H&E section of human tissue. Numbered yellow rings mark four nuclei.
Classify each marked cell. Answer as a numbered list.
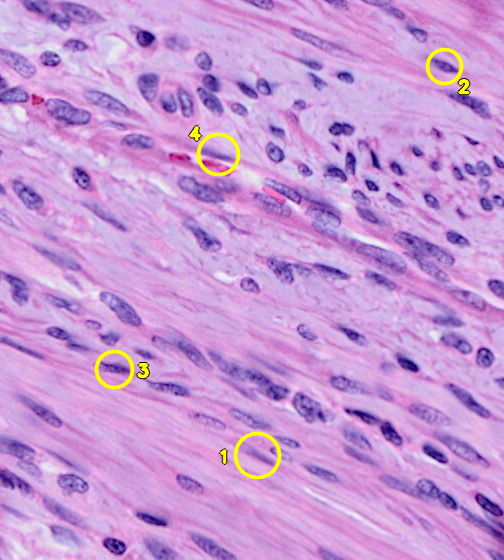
1. smooth muscle cell
2. smooth muscle cell
3. smooth muscle cell
4. endothelial cell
